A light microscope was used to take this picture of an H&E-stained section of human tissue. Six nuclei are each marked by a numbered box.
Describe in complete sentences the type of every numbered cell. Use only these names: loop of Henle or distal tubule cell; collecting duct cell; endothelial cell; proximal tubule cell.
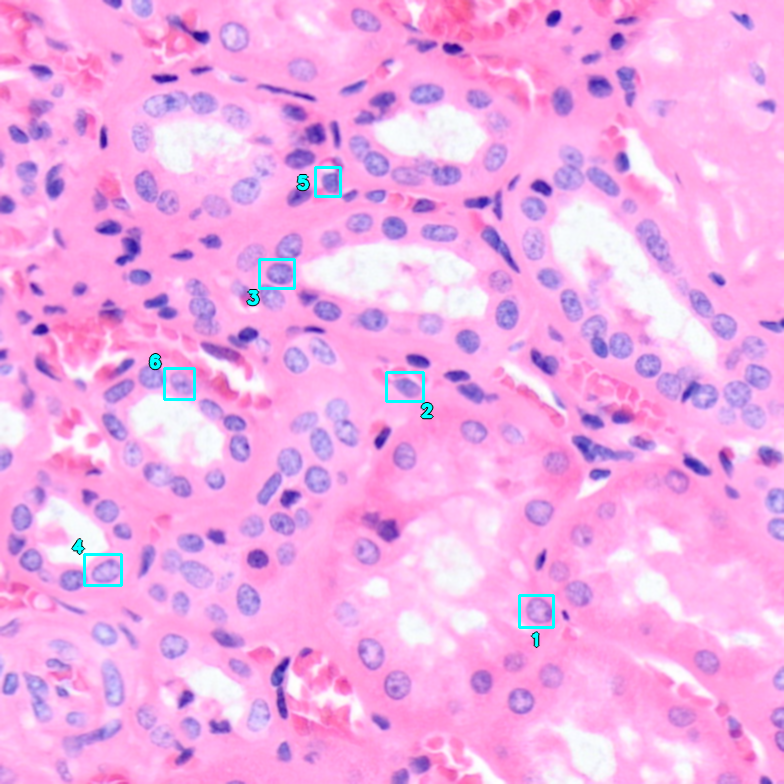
Cell 1 is a proximal tubule cell. Cells 2 and 5 are endothelial cells. Cells 3, 4 and 6 are collecting duct cells.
